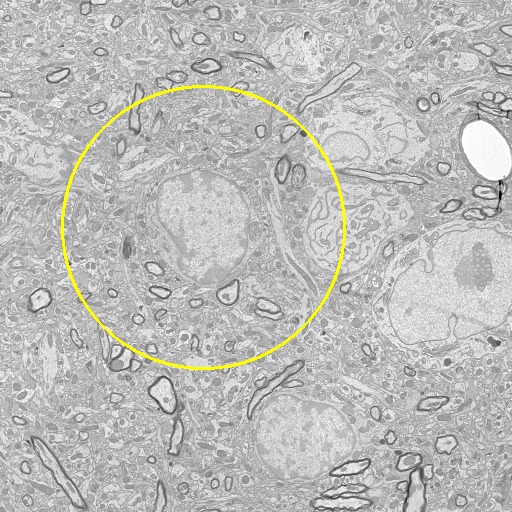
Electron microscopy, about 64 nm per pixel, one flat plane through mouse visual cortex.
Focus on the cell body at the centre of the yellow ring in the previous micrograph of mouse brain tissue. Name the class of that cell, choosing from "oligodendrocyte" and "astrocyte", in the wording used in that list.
oligodendrocyte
